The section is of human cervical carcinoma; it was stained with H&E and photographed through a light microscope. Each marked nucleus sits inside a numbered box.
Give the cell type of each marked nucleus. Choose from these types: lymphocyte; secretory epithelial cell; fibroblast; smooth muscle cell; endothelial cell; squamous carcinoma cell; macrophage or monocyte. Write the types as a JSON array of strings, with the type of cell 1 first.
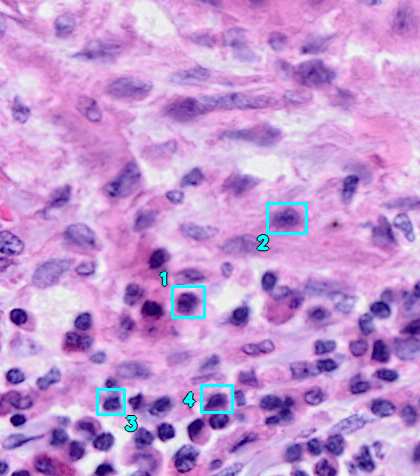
["lymphocyte", "endothelial cell", "lymphocyte", "lymphocyte"]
